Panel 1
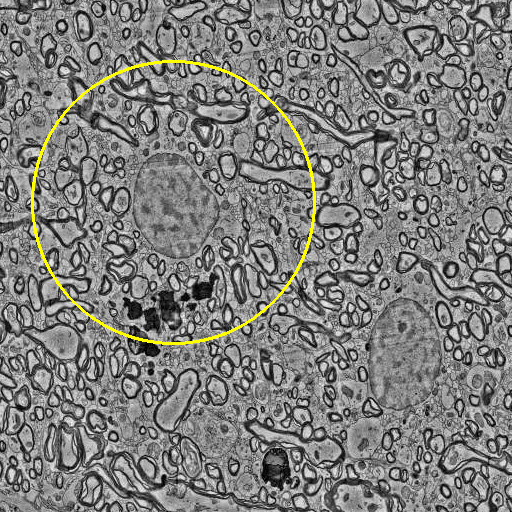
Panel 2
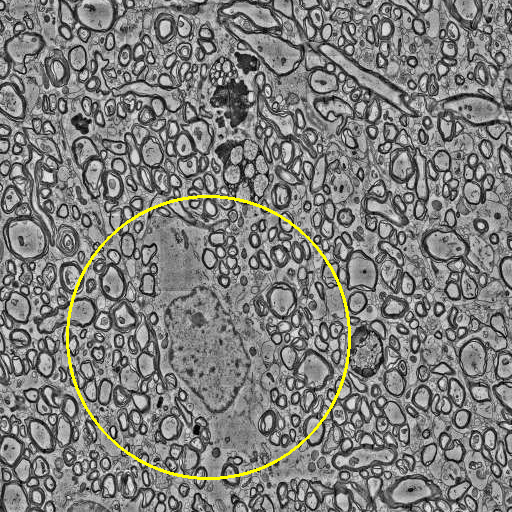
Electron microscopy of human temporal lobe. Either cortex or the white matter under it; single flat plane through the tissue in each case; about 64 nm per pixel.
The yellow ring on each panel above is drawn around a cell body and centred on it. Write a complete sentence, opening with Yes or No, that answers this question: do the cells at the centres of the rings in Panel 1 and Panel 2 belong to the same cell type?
No, the two cells belong to two cell types.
